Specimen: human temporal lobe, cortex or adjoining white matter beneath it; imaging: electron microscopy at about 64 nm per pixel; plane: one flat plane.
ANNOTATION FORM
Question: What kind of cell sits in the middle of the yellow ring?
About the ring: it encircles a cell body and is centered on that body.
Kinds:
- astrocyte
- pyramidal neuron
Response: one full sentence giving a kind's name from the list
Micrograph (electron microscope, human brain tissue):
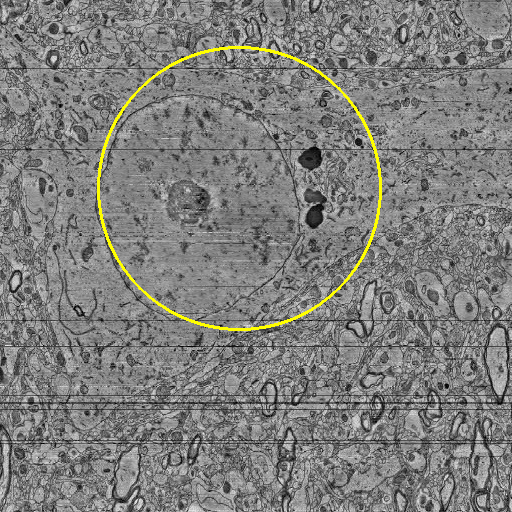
The kind of cell found at the center of the yellow ring in the micrograph is a pyramidal neuron.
